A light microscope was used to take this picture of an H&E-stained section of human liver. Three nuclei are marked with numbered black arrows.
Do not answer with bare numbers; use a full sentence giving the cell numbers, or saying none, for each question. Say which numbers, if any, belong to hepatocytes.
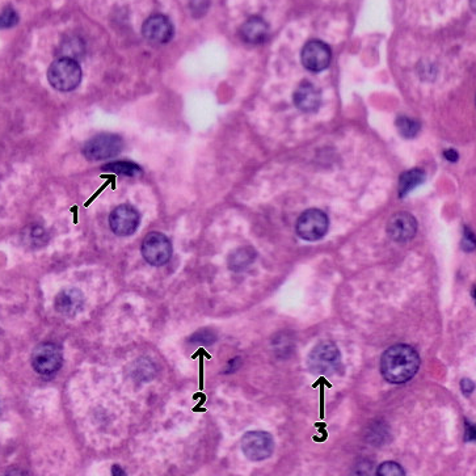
Cell 3 is a hepatocyte; the remaining numbered cells are not.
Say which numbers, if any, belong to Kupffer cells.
The only cell among those numbered to be a Kupffer cell is number 2.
